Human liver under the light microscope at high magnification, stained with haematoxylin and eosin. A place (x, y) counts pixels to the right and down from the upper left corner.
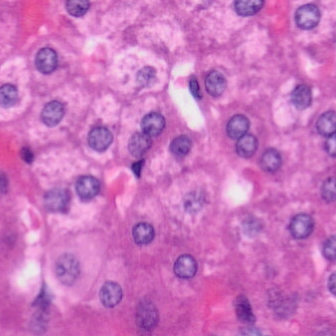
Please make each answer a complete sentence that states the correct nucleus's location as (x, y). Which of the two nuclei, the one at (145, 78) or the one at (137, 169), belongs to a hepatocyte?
Only the nucleus at (145, 78), of the two, belongs to a hepatocyte.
